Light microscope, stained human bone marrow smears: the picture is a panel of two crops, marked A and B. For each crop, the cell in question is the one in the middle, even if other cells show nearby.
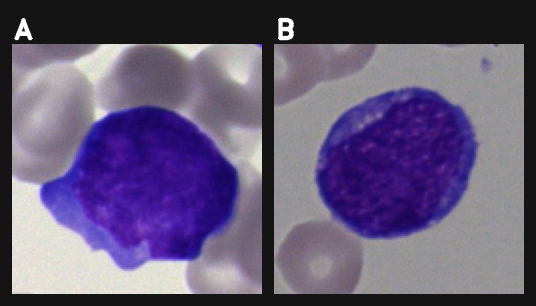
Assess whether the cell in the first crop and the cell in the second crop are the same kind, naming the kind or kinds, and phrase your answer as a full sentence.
Yes, both crops show blasts, and that holds for each one.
